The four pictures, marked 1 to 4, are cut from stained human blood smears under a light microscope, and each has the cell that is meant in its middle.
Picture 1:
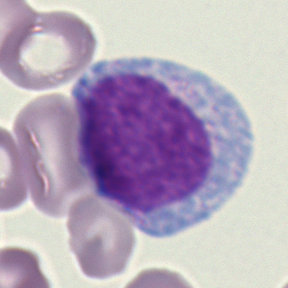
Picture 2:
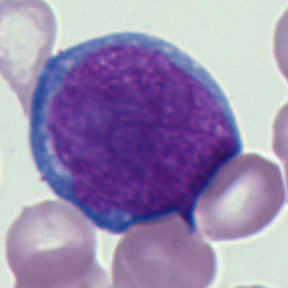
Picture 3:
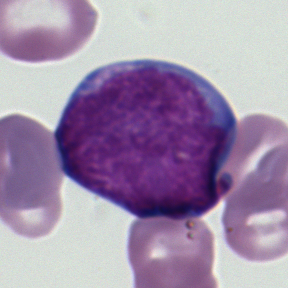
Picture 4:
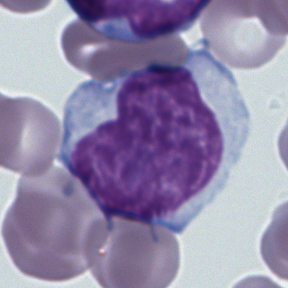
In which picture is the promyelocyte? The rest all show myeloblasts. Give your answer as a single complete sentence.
It is picture 1 that shows the promyelocyte.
